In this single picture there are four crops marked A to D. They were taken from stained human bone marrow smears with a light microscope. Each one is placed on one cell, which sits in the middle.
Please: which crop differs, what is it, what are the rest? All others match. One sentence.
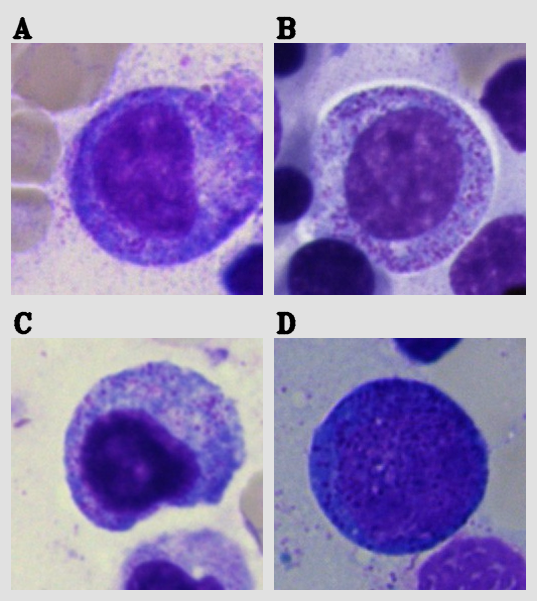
Just crop B is a myelocyte; all the other crops show promyelocytes.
